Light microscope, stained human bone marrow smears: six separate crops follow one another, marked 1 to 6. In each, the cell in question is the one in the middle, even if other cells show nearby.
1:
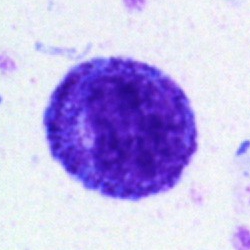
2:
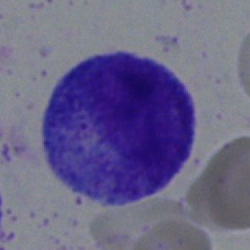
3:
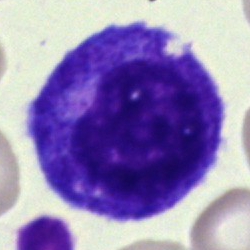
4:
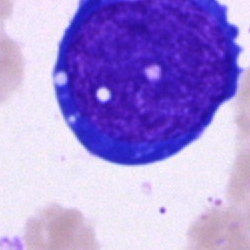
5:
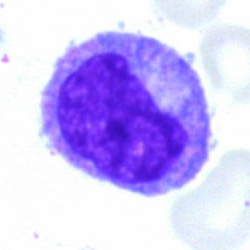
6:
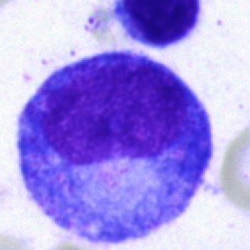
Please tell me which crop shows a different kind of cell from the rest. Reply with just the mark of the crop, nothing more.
4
